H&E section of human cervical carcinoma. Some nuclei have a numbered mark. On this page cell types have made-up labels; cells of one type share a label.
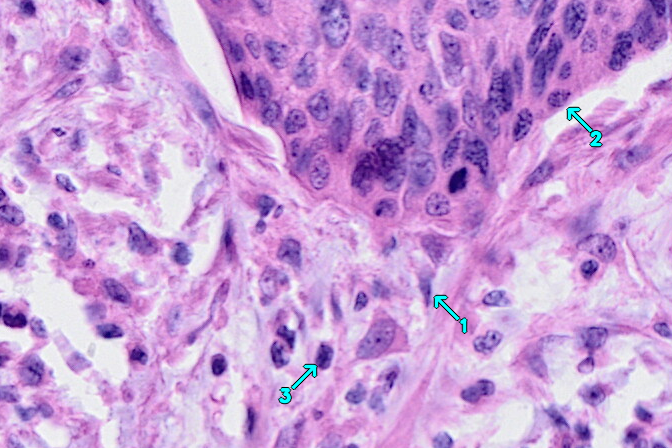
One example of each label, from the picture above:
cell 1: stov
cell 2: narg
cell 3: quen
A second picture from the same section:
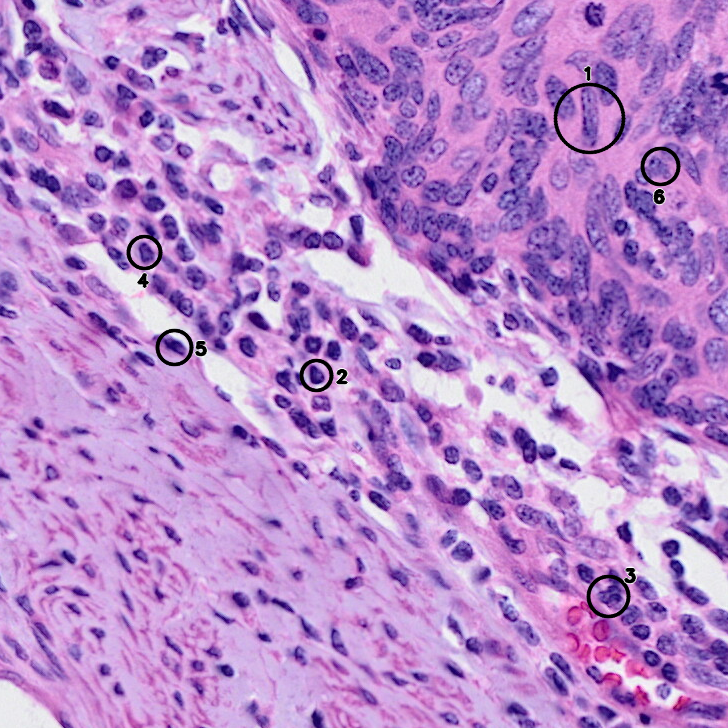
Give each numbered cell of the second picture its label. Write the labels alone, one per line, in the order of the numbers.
narg
quen
quen
quen
quen
narg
